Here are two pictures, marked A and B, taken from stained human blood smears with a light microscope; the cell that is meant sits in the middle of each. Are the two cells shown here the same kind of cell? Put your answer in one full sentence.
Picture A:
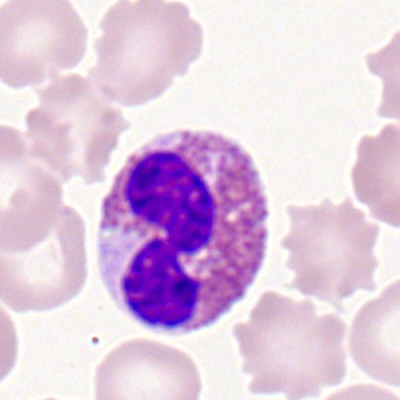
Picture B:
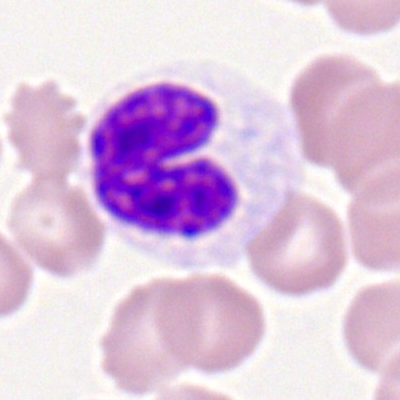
No. Picture A shows an eosinophil, but picture B shows a band neutrophil.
